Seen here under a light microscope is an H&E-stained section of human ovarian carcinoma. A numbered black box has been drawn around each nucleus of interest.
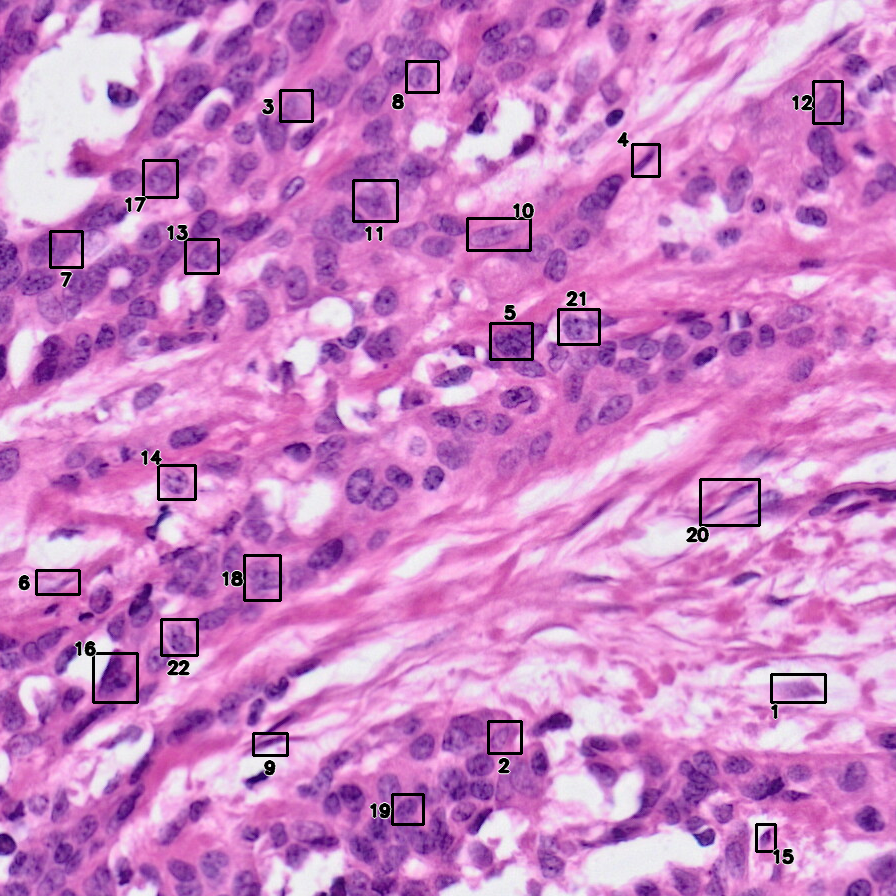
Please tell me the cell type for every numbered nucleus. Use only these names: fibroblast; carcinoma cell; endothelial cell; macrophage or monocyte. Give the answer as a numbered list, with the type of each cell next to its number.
1. fibroblast
2. carcinoma cell
3. carcinoma cell
4. fibroblast
5. carcinoma cell
6. fibroblast
7. carcinoma cell
8. macrophage or monocyte
9. fibroblast
10. endothelial cell
11. carcinoma cell
12. carcinoma cell
13. carcinoma cell
14. macrophage or monocyte
15. carcinoma cell
16. carcinoma cell
17. carcinoma cell
18. carcinoma cell
19. carcinoma cell
20. fibroblast
21. macrophage or monocyte
22. macrophage or monocyte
